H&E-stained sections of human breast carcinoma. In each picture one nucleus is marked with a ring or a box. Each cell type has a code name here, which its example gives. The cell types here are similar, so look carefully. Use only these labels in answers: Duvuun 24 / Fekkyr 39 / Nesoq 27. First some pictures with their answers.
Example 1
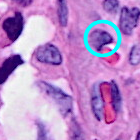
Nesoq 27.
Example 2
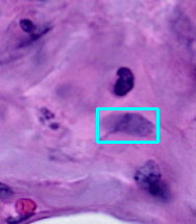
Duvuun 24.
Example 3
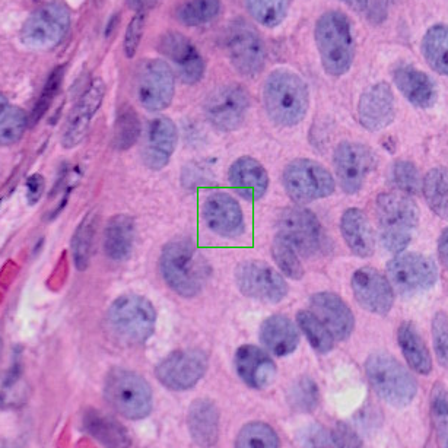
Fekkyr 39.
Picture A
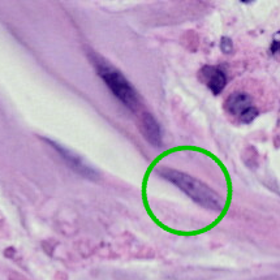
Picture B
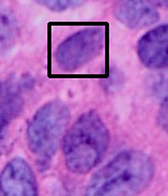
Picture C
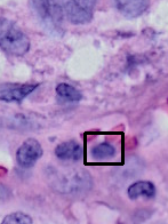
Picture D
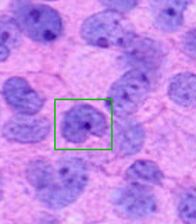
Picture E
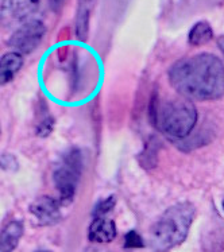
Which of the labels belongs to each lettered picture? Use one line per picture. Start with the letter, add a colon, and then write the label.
A: Duvuun 24.
B: Fekkyr 39.
C: Nesoq 27.
D: Fekkyr 39.
E: Nesoq 27.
